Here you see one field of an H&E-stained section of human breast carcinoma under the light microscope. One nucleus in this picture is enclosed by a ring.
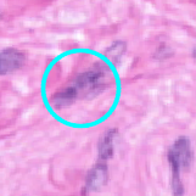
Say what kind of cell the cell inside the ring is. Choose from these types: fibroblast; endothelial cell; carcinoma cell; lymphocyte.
fibroblast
